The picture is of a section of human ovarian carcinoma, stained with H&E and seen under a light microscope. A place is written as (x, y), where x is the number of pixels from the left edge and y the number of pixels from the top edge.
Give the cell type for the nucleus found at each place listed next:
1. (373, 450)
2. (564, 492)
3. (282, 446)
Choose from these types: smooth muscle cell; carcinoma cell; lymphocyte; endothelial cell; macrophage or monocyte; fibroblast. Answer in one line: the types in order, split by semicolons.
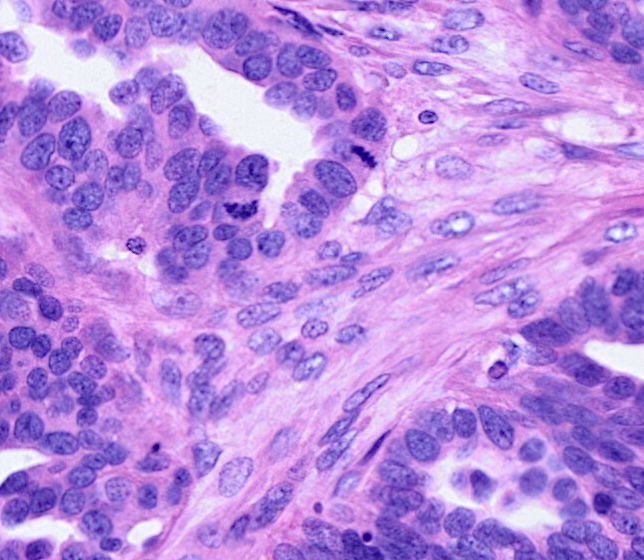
fibroblast; carcinoma cell; fibroblast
